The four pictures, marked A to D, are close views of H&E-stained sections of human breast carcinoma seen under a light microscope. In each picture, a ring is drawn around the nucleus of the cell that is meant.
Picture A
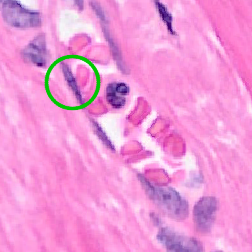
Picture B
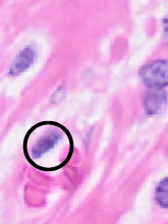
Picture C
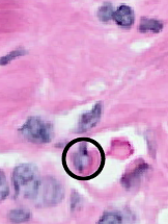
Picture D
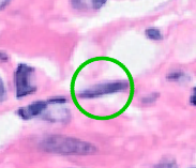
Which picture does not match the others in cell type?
D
